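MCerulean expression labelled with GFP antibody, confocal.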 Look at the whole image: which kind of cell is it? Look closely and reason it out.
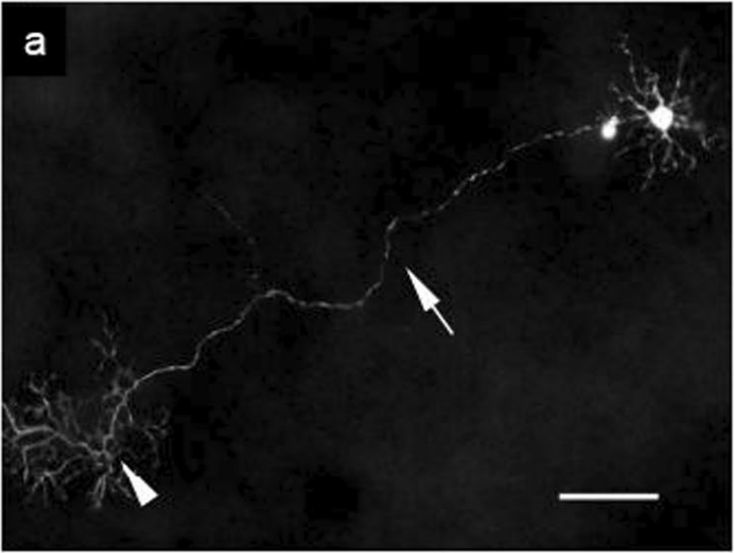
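Horizontal cells. A small cell body with a compact cluster of short, branching dendrites. A single long, thin axon leaves the cell and ends in a separate bushy arborization.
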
